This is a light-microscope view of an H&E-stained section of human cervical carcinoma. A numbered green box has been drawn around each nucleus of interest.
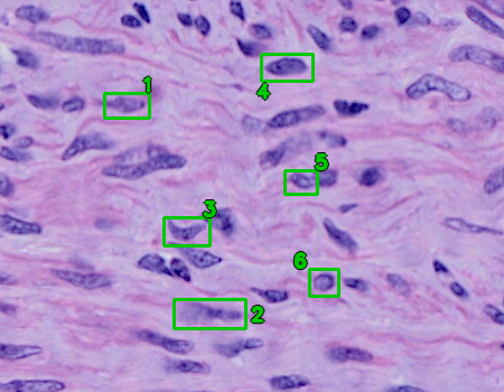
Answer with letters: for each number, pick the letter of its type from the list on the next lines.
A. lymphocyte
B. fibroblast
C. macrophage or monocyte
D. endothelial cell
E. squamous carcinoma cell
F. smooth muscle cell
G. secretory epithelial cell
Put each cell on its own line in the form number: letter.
1: F
2: F
3: B
4: B
5: F
6: F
